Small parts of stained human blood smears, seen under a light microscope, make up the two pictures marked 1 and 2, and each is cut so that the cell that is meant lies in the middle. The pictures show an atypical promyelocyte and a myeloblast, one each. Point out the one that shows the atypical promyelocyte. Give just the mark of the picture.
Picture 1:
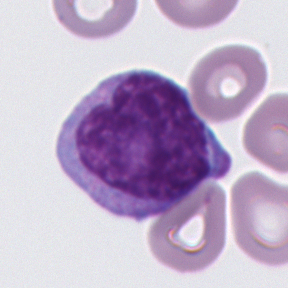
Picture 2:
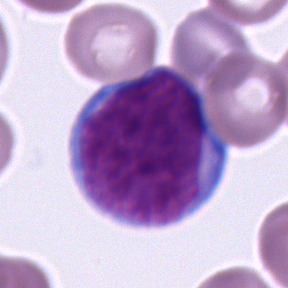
1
